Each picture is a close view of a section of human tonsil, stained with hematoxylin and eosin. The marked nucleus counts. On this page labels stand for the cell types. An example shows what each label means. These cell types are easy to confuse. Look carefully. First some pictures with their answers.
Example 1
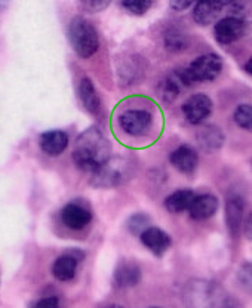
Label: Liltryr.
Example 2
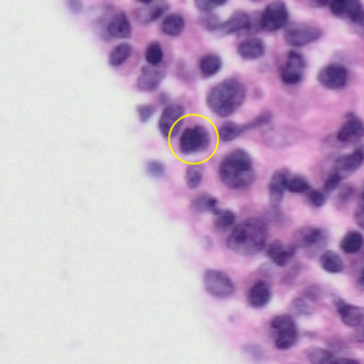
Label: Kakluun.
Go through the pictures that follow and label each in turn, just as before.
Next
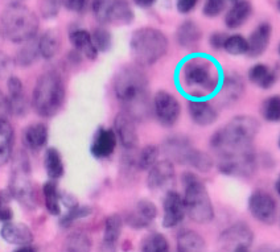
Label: Kakluun.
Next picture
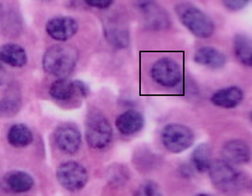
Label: Liltryr.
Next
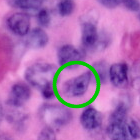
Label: Kakluun.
